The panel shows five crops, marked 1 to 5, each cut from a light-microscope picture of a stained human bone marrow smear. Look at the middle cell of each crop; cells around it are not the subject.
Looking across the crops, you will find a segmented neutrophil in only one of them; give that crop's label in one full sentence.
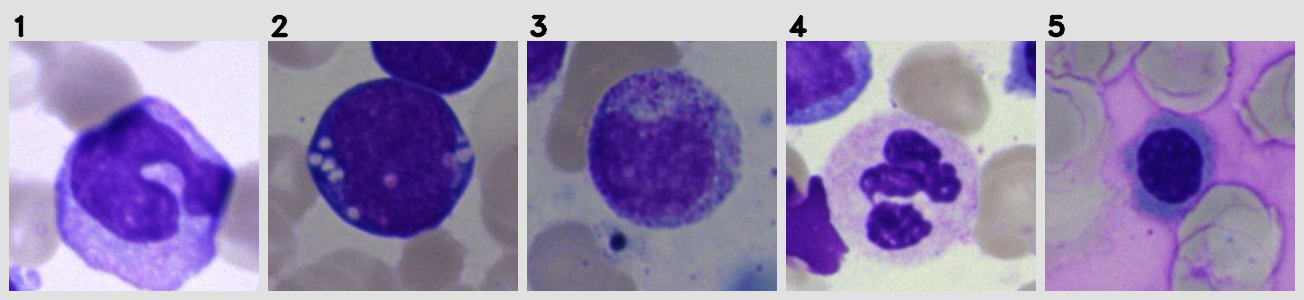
Only in crop 4 is a segmented neutrophil shown.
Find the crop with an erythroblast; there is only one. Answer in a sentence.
Of the cells presented, the one in crop 5 is an erythroblast.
